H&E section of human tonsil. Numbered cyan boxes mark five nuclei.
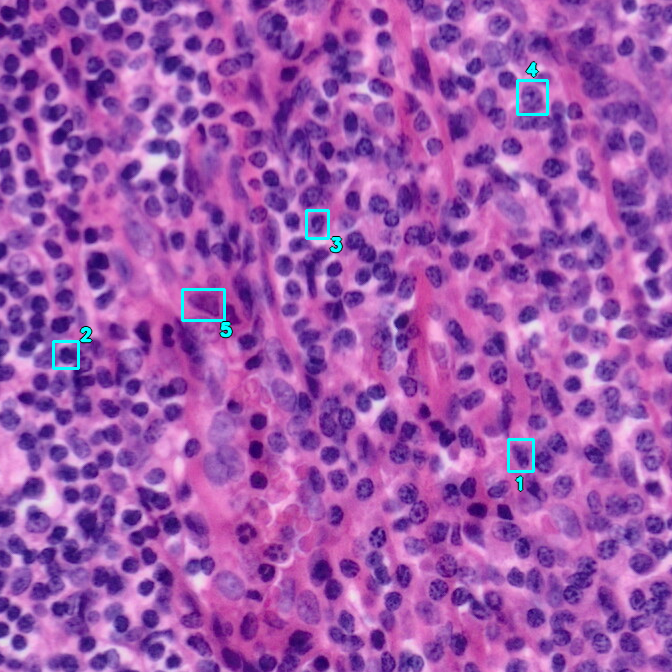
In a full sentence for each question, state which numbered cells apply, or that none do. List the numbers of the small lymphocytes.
Cell 2 alone, of all the numbered cells, is a small lymphocyte.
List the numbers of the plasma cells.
The cells whose numbers are 1, 3 and 4 are plasma cells.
